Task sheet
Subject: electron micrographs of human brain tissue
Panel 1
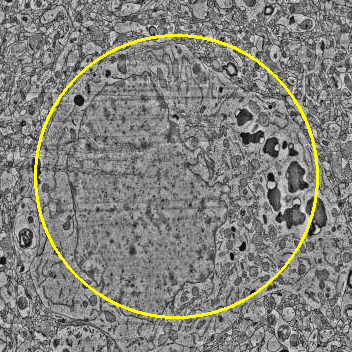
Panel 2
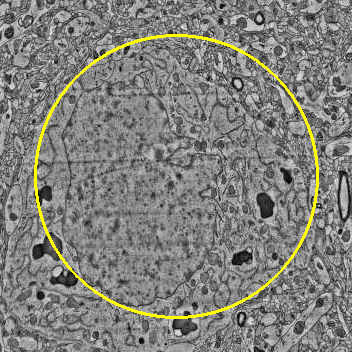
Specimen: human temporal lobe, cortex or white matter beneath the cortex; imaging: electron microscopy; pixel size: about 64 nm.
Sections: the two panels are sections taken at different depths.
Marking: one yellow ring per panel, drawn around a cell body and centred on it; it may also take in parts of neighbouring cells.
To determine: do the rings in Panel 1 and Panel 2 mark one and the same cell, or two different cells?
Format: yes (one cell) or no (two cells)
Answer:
yes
